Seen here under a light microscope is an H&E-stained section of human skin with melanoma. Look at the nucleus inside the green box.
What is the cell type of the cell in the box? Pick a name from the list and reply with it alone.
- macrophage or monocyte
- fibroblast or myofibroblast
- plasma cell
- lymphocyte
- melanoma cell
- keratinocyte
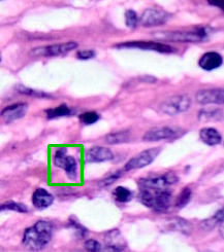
lymphocyte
